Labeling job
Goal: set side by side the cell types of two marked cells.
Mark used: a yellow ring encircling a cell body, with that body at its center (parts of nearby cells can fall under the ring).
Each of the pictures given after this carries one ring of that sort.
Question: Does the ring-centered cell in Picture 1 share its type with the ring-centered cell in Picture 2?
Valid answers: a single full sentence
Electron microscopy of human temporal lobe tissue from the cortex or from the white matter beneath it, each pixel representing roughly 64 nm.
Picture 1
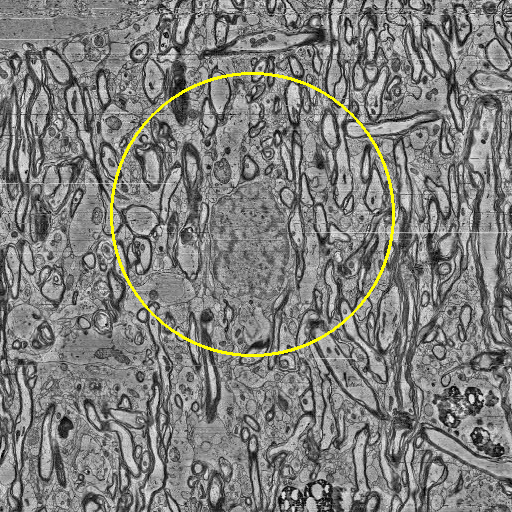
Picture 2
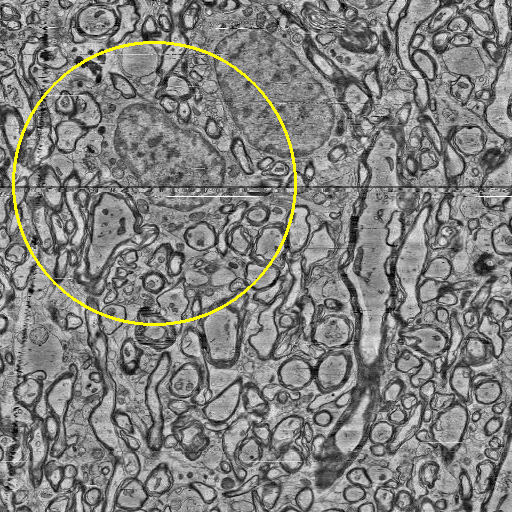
Yes, in Pictures 1 and 2 the cells at the ring centers share one type.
